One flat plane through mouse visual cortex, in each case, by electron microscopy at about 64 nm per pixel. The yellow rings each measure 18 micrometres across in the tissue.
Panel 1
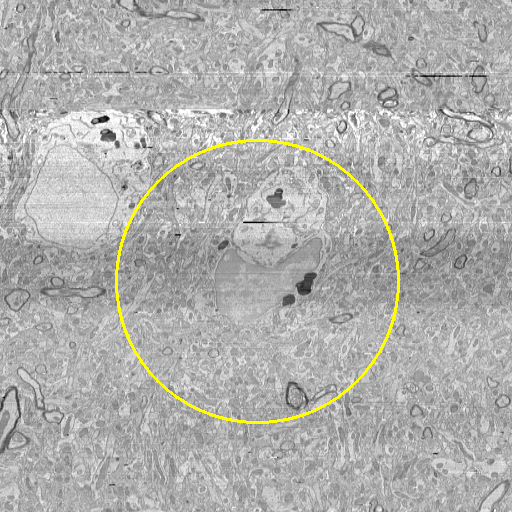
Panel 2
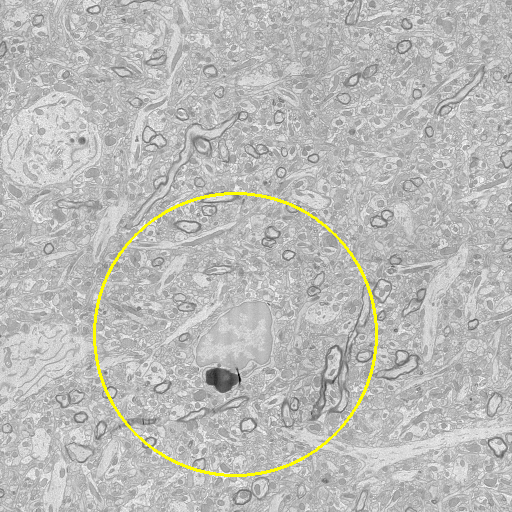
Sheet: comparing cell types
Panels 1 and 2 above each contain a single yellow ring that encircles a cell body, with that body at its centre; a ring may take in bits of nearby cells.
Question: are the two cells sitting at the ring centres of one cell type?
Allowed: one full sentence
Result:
Yes, the ring-centre cells in Panel 1 and Panel 2 are of one type.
